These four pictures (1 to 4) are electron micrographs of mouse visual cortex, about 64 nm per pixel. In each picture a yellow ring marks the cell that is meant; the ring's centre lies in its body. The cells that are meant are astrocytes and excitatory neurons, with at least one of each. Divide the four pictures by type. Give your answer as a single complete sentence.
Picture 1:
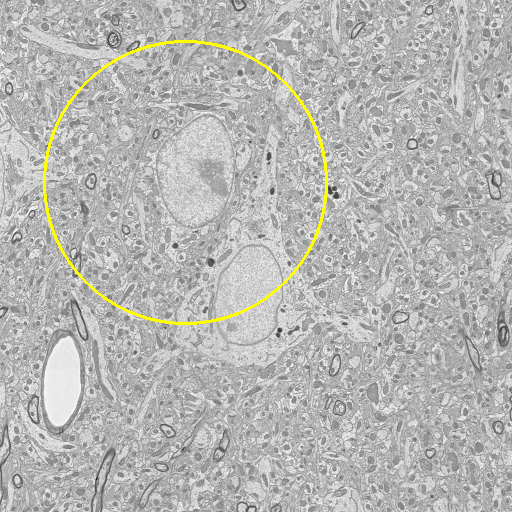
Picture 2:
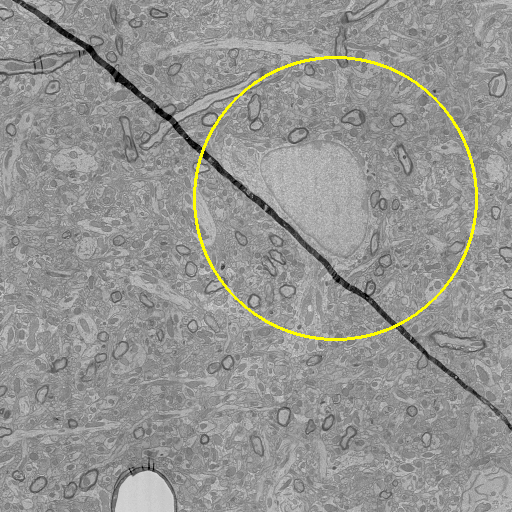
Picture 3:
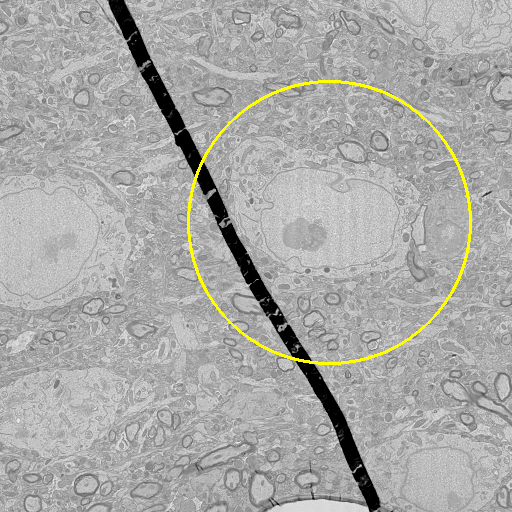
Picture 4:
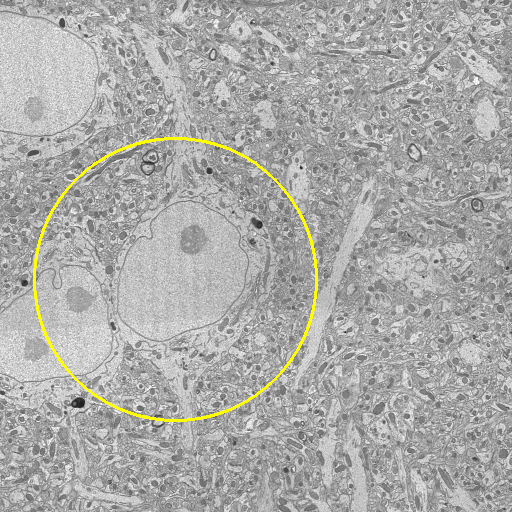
Pictures 1 and 2 show astrocytes, and pictures 3 and 4 show excitatory neurons.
